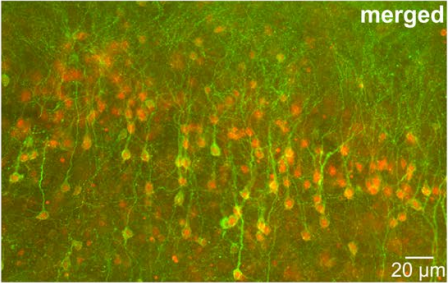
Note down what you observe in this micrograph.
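Round red cell bodies are crowded across the middle and lower part of the field. Many of them are also outlined in green, which makes them yellowish-orange where the colours overlap. The green outlines show triangular somata each giving off one long dendrite that runs straight upward, the dendrites lying parallel to one another. A fine mesh of thinner green processes fills the space between them.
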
